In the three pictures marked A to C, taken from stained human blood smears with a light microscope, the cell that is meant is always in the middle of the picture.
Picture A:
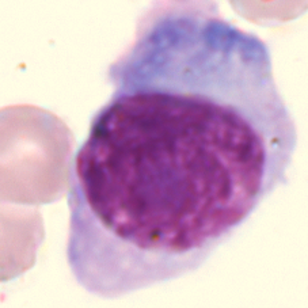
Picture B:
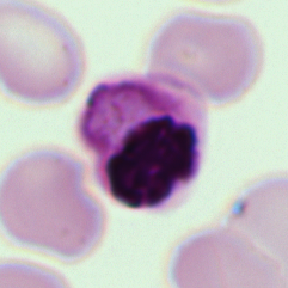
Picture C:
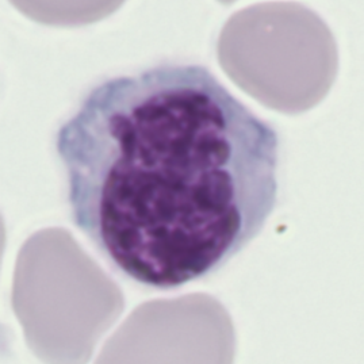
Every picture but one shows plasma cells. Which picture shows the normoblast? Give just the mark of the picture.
B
